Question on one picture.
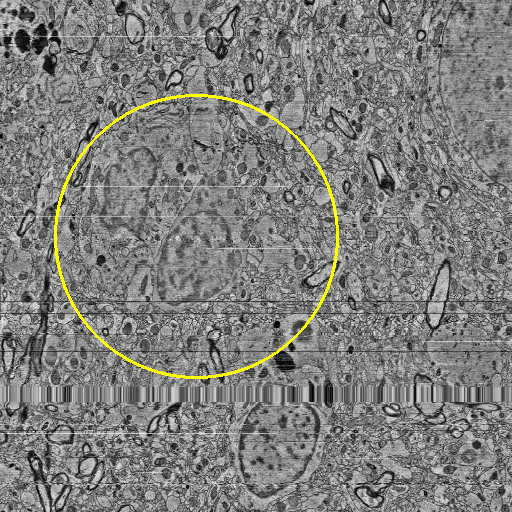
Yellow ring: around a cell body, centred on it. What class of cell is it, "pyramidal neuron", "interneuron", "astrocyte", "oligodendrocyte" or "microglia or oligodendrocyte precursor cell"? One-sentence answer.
This is an oligodendrocyte, the cell the ring is centred on.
